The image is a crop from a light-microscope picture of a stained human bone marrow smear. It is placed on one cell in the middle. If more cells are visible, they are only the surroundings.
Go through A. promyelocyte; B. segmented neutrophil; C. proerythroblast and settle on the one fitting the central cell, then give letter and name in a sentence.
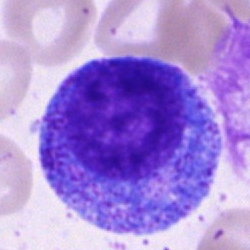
Occupying the middle of the crop is a promyelocyte, hence option A is correct.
